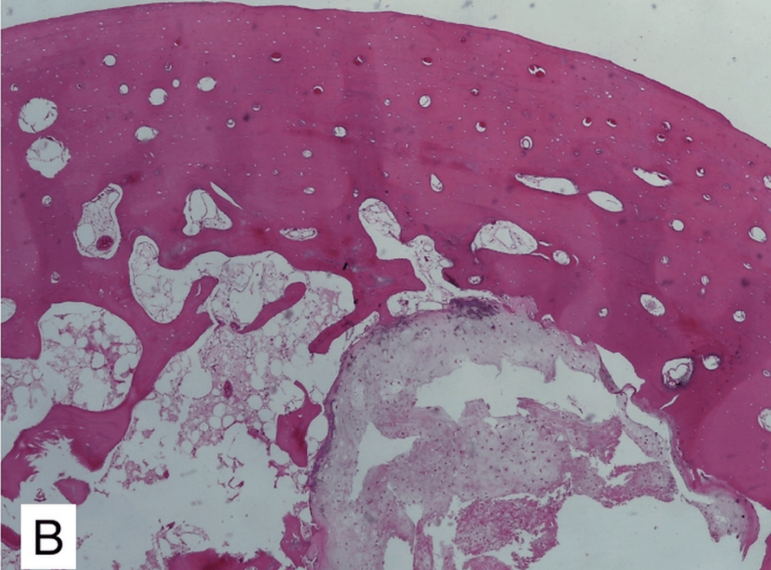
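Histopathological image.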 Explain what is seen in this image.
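A broad band of compact pink bone with scattered round canals forms the top of the field, and its outer surface is smooth and continuous. Beneath it, fat-filled marrow and pink trabeculae surround a large lobule of pale matrix with sparse small nuclei. A thin purplish rim outlines the lobule where it meets the inner surface of the compact bone. This is a sparsely cellular cartilage-forming proliferation inside the marrow cavity, and the overlying bone cortex is left intact.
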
